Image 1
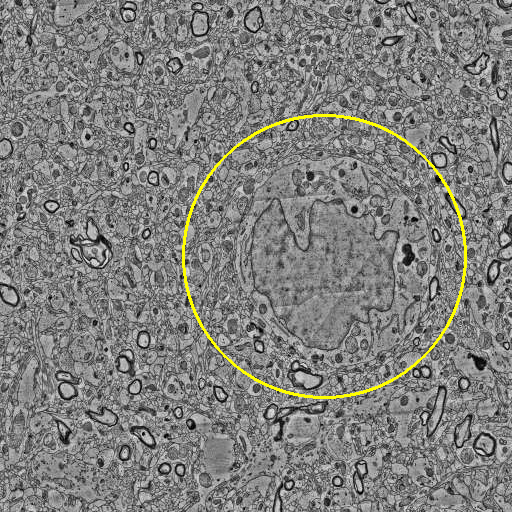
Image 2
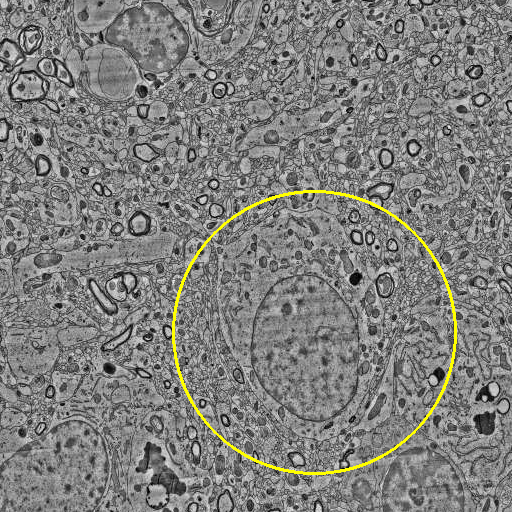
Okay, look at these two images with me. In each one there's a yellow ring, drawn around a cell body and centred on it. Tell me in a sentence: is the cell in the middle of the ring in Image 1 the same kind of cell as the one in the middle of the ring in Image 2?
Yes, they're the same kind of cell.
